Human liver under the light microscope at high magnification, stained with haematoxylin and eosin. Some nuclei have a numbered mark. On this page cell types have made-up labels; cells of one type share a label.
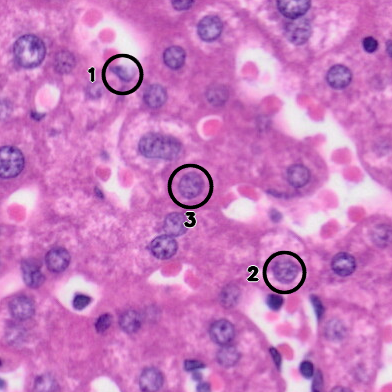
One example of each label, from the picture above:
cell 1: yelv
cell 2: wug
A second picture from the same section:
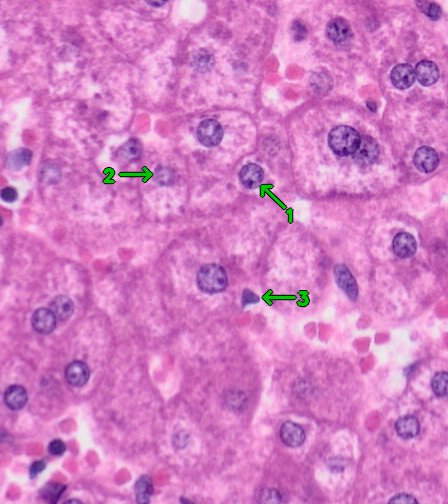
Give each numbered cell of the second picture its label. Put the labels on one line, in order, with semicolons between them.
wug; wug; yelv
